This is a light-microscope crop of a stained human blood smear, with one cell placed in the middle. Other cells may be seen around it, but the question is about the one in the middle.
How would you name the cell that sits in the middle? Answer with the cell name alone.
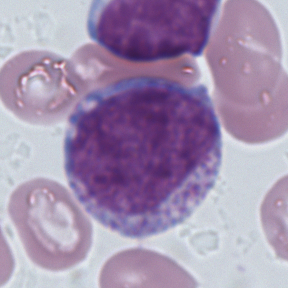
promyelocyte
